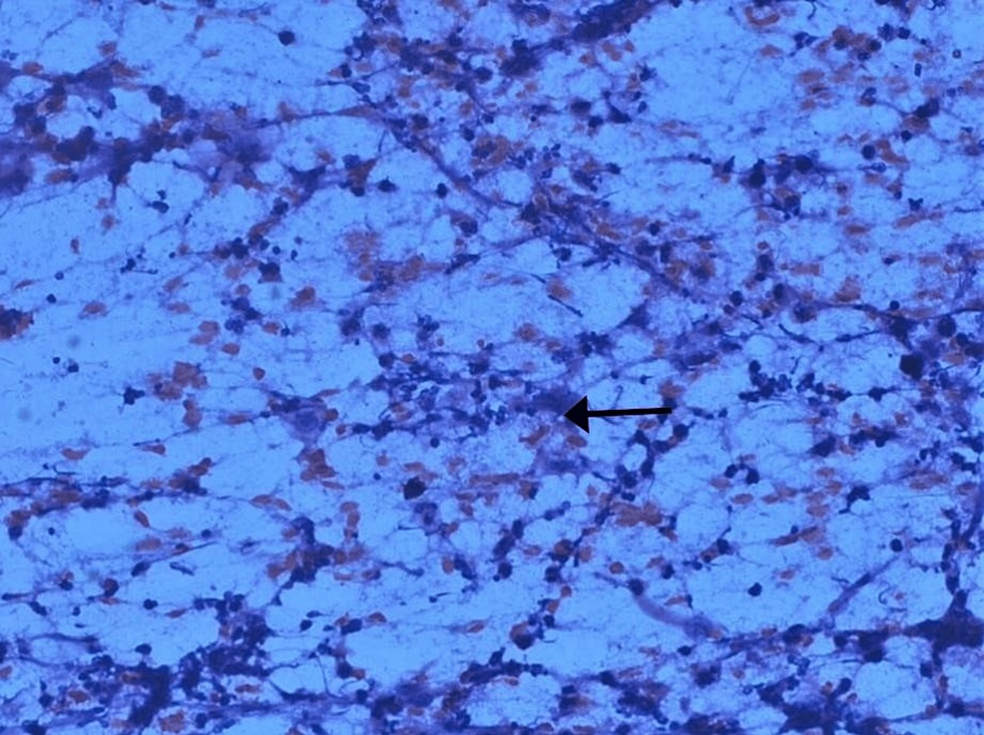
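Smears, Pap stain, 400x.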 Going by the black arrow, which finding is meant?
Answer: Acute inflammatory infiltrate along with granulation tissue.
